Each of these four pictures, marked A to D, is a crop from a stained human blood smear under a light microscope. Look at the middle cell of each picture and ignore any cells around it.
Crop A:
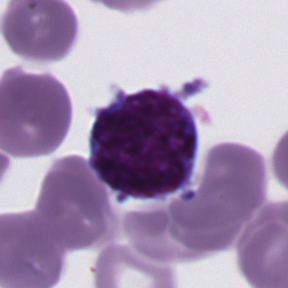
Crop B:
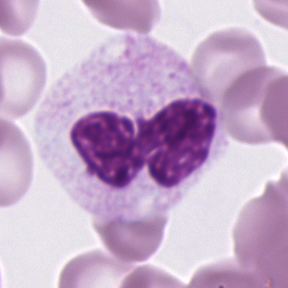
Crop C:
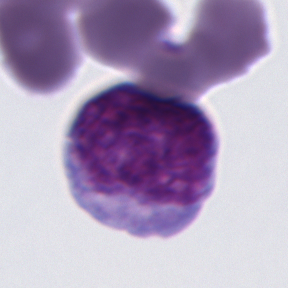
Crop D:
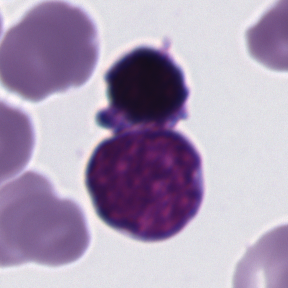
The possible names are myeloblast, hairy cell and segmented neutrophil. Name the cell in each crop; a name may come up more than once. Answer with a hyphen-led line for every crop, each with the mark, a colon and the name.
- A: myeloblast
- B: segmented neutrophil
- C: myeloblast
- D: myeloblast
